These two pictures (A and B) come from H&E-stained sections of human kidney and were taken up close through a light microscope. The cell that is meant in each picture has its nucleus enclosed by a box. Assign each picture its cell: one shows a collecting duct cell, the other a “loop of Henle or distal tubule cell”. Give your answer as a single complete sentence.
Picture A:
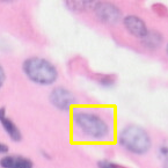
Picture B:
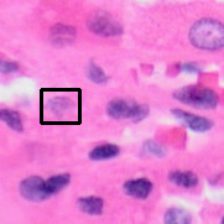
Picture B shows a “loop of Henle or distal tubule cell”, while picture A shows a collecting duct cell.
